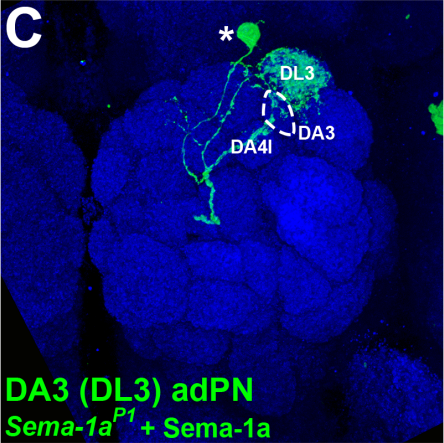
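A single green neuron lies over the blue glomerular neuropil of the antennal lobe. From its soma at the top a fibre enters the lobe and its dendrites spread as a large dense meshwork in a glomerulus next to the dashed outline, which stays mostly free of green, while a thin fibre continues down through the lobe.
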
